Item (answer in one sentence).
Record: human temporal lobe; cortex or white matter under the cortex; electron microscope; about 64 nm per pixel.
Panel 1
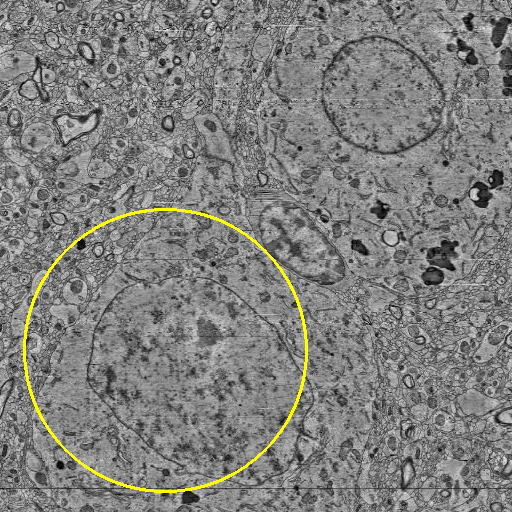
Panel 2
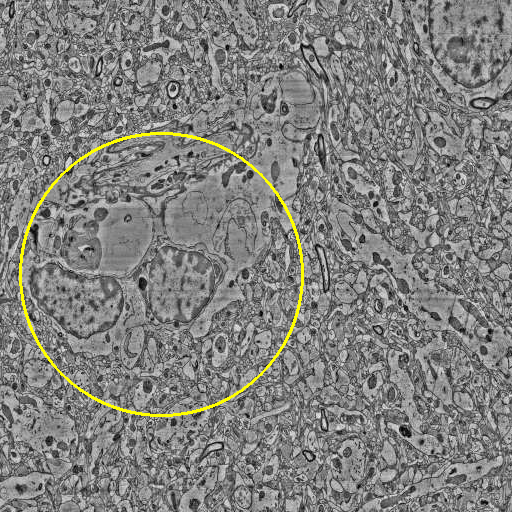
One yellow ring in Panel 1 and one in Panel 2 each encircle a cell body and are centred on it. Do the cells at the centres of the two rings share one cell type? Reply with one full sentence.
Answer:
No, Panel 1 and Panel 2 show cells of two types at the centres of their rings.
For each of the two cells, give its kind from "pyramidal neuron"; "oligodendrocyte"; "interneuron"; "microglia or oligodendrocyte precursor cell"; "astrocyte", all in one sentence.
The first picture has a pyramidal neuron in its ring, the second has a microglial cell or oligodendrocyte precursor cell.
